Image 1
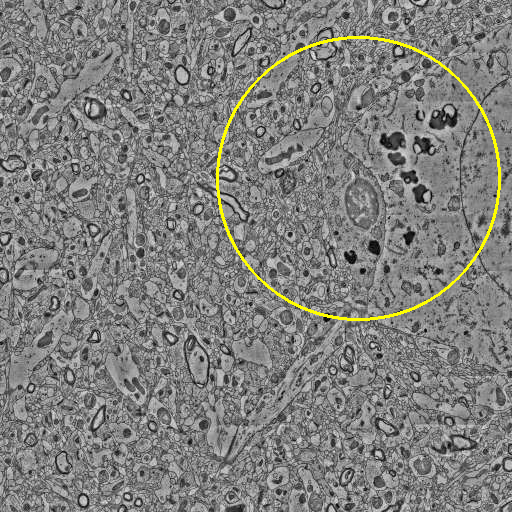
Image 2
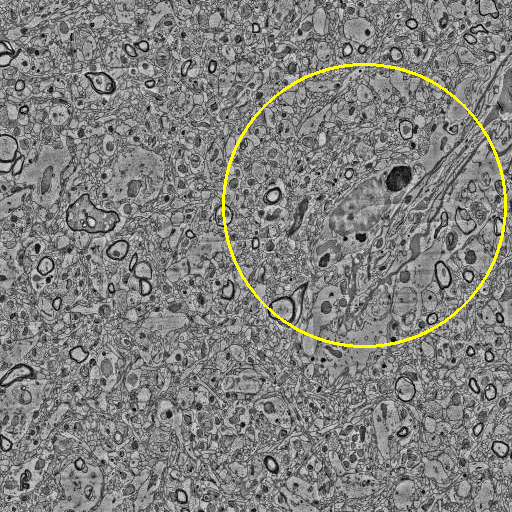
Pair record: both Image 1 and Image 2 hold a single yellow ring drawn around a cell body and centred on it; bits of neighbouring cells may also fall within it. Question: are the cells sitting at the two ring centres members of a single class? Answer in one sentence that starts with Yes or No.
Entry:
Yes, both ring-centre cells in Image 1 and Image 2 are members of one class.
